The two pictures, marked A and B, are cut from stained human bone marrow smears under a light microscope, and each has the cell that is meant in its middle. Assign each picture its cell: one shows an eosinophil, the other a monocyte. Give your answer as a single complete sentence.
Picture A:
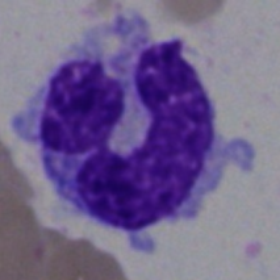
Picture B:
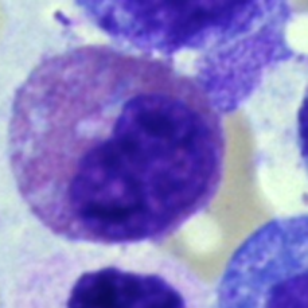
In picture A the cell is a monocyte; in picture B, an eosinophil.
